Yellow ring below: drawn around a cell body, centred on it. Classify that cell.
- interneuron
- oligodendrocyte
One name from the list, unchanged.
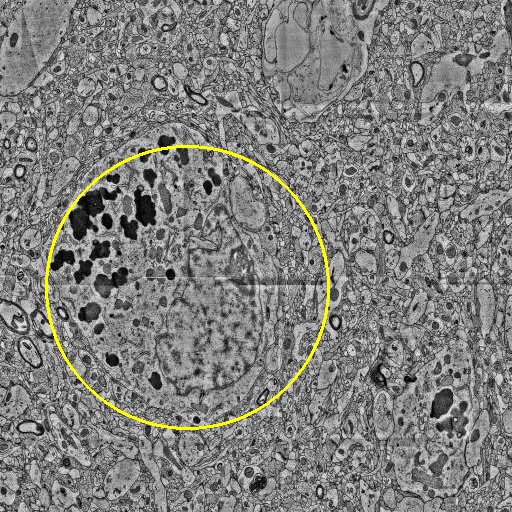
interneuron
